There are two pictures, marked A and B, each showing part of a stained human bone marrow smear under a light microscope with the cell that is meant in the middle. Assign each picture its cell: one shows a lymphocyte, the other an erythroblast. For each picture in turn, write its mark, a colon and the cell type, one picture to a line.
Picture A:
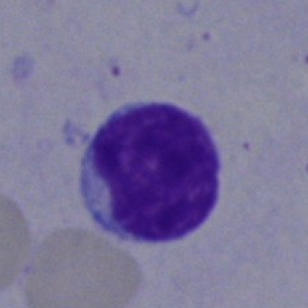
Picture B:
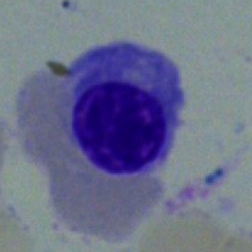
A: lymphocyte
B: erythroblast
